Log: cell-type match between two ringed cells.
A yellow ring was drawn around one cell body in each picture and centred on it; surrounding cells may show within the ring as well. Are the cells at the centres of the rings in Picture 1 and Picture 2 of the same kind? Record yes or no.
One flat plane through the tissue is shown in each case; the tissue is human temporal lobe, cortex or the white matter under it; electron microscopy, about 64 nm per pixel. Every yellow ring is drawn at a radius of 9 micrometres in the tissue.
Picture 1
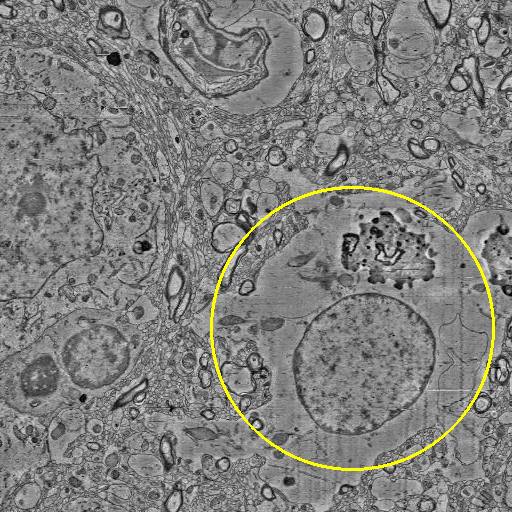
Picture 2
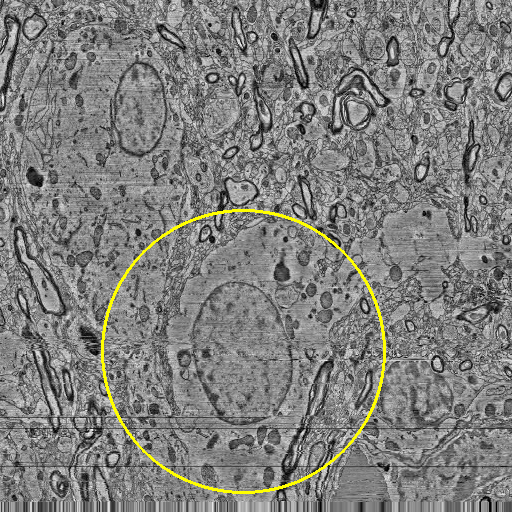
yes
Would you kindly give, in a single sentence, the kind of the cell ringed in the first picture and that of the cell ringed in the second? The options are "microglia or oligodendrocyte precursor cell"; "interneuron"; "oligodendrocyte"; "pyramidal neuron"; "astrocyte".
The cell at the ring centre is an astrocyte in both pictures.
